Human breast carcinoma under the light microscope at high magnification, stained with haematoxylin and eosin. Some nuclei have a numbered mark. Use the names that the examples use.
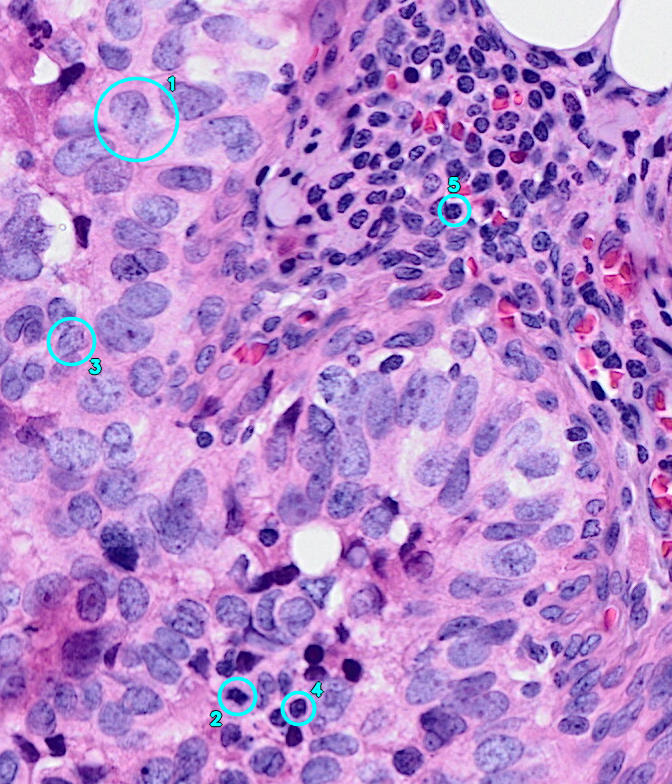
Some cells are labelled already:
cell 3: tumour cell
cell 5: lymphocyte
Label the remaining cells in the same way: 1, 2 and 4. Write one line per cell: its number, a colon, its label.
1: tumour cell
2: lymphocyte
4: lymphocyte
